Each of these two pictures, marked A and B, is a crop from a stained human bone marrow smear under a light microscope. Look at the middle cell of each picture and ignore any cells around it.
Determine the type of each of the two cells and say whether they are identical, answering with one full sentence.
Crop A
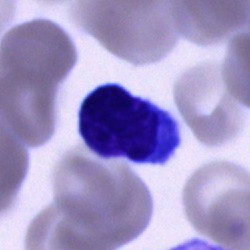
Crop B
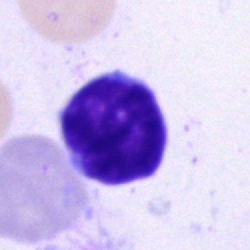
Yes, the two crops are alike in showing lymphocytes.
